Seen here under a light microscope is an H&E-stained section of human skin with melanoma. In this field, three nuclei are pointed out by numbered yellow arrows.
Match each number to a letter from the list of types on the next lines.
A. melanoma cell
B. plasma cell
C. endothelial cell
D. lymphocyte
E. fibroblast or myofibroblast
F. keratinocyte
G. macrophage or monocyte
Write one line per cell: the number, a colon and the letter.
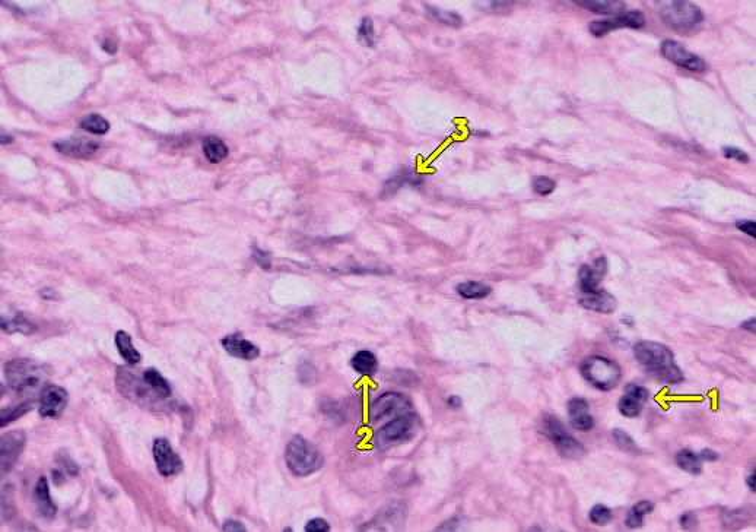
1: D
2: D
3: E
